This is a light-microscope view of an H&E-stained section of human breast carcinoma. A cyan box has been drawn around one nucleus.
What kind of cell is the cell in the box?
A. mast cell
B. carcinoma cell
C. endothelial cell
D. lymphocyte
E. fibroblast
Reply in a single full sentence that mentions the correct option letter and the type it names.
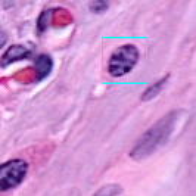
Best answer: option A, with the cell in the box being a mast cell.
